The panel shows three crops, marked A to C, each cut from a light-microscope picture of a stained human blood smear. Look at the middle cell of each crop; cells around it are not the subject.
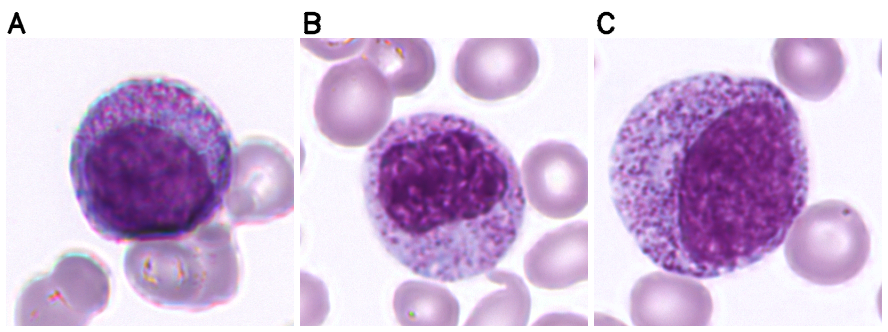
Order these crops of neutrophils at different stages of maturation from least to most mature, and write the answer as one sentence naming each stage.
Ordering these by maturity, least mature first, yields crop C (a promyelocyte), crop A (a myelocyte) and crop B (a metamyelocyte).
